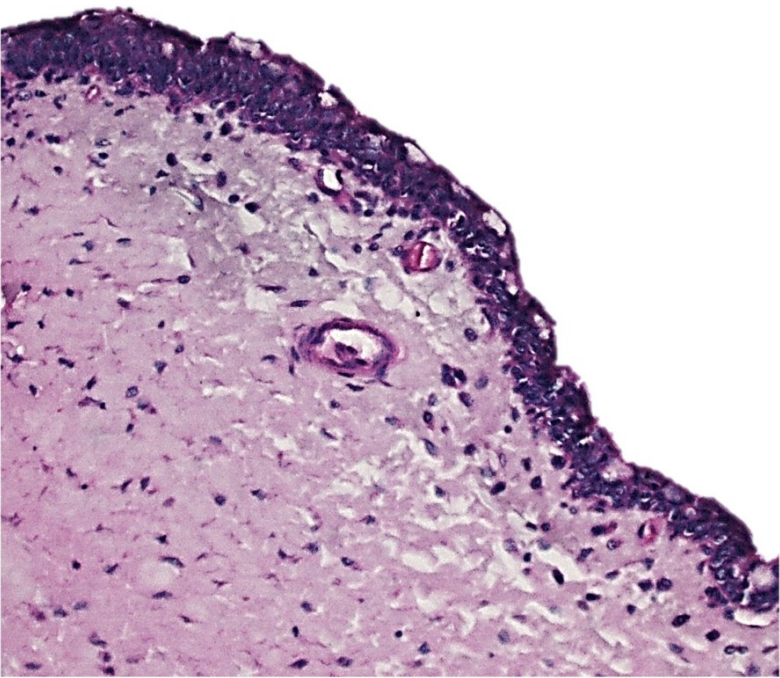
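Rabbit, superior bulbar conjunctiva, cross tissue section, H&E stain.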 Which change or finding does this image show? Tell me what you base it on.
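The surface epithelium is several cell layers thick. The epithelium is packed with dark purple nuclei. That points to this answer: increased stratification.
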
